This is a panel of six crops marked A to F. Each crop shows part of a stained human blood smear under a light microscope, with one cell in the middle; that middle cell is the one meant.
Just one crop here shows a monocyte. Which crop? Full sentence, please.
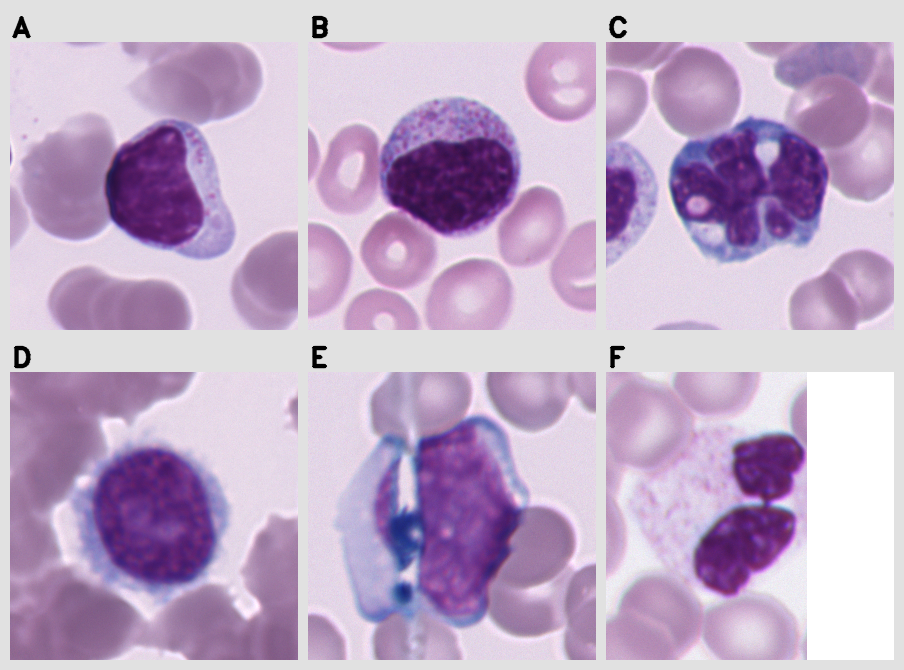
Of the labeled crops, the one with a monocyte is crop C.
